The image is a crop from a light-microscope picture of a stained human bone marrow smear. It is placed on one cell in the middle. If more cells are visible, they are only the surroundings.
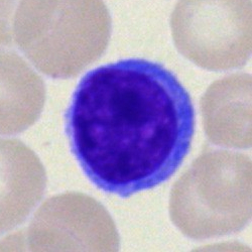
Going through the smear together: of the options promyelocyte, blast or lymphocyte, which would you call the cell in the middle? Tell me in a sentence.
The cell centred in this crop is categorized as a lymphocyte.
